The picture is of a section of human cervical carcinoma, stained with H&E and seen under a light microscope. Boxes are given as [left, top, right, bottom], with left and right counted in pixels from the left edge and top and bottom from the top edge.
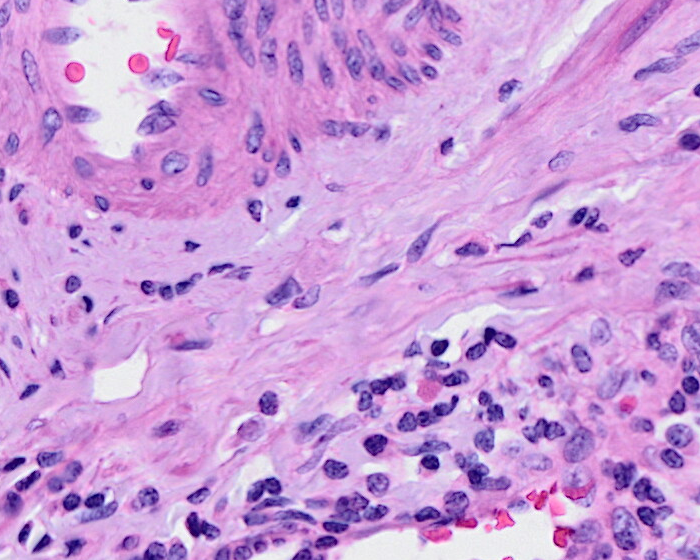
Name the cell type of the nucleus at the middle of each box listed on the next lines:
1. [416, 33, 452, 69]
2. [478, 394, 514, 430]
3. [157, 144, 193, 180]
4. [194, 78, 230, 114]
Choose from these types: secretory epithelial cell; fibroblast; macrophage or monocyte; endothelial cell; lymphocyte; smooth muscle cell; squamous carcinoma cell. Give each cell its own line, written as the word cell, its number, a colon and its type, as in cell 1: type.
cell 1: smooth muscle cell
cell 2: lymphocyte
cell 3: smooth muscle cell
cell 4: smooth muscle cell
